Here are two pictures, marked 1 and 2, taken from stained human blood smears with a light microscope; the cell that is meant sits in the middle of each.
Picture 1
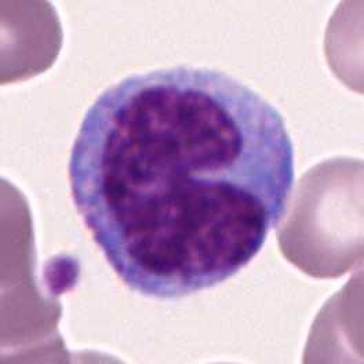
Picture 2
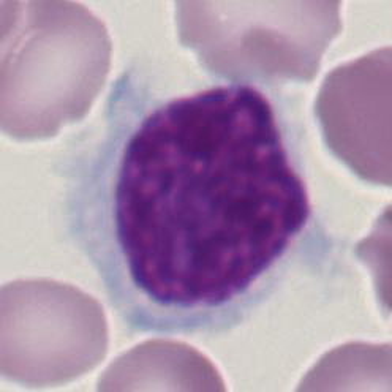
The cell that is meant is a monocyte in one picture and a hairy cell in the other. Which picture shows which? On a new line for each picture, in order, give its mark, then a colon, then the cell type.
1: monocyte
2: hairy cell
